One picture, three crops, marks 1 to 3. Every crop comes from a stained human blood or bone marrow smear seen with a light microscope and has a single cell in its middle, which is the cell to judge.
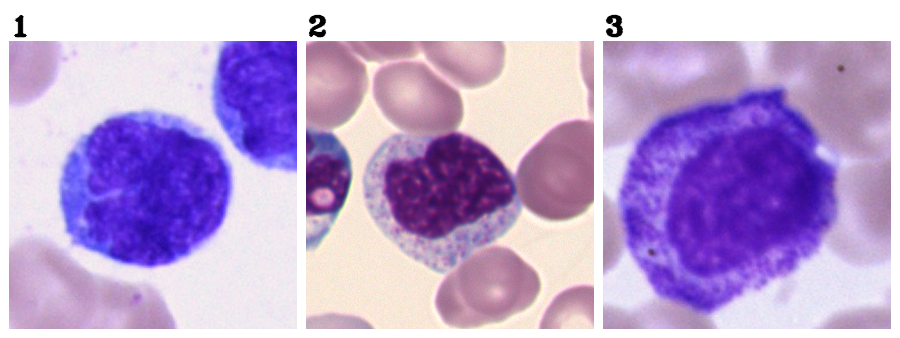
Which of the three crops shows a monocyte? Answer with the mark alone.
1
